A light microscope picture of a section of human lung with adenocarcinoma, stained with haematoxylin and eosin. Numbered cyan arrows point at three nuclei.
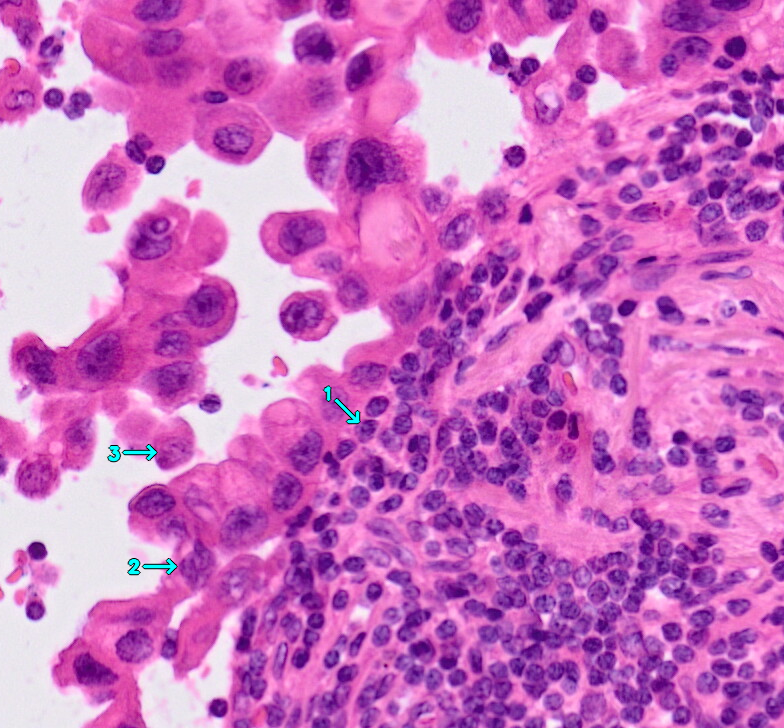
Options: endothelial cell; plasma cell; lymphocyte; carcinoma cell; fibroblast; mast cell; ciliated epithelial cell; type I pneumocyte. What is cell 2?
carcinoma cell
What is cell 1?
lymphocyte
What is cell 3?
carcinoma cell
